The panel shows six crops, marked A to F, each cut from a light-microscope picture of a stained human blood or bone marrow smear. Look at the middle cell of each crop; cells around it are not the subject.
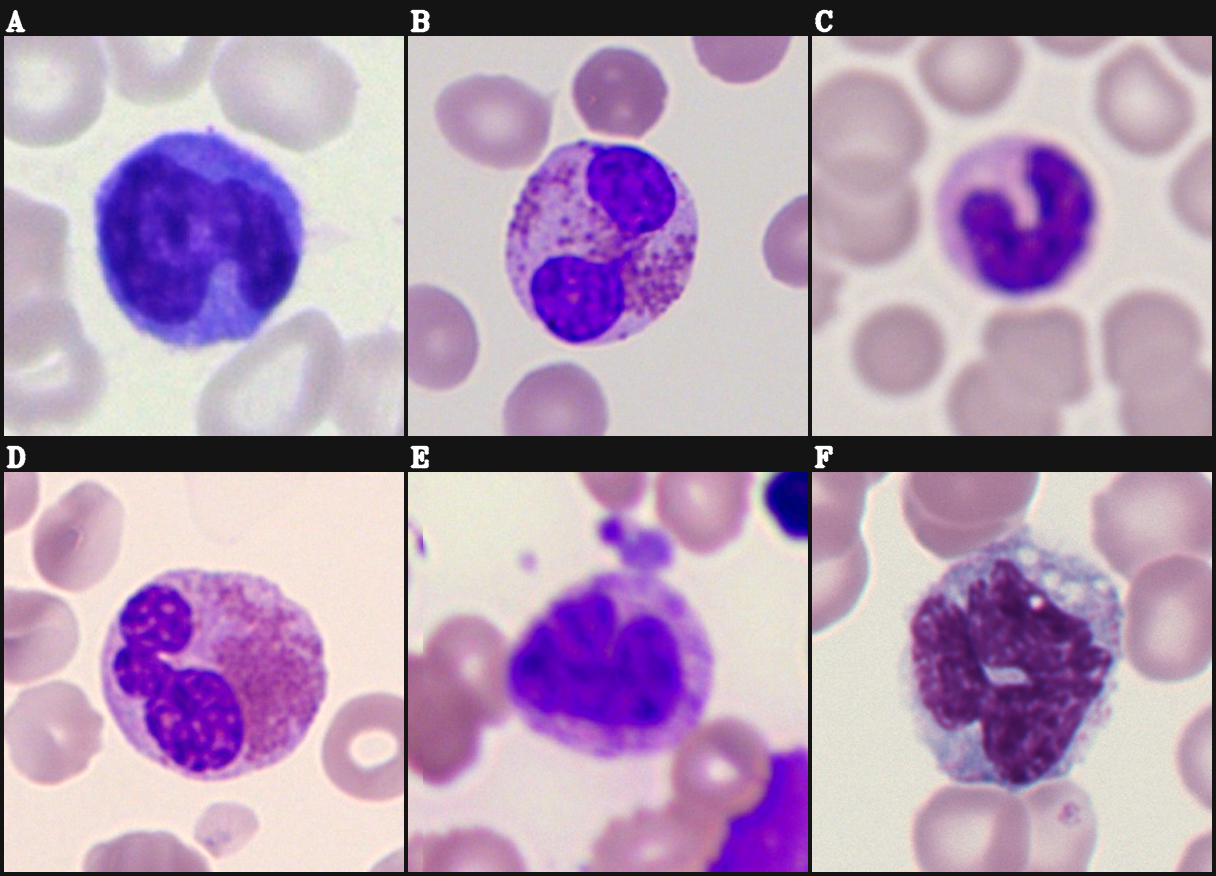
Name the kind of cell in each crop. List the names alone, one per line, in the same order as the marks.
monocyte
eosinophil
band neutrophil
eosinophil
band neutrophil
monocyte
